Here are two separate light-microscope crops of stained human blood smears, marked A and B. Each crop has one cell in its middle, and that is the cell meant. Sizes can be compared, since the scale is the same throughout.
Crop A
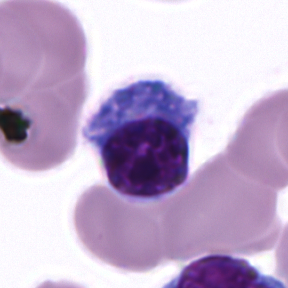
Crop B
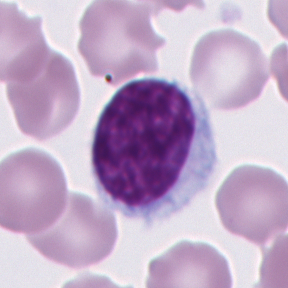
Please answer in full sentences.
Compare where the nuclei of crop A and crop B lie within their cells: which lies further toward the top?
The nucleus in crop B lies further toward the top of its cell.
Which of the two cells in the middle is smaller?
Smaller is the cell in crop A, and the other is about 1.5 times as large in area.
